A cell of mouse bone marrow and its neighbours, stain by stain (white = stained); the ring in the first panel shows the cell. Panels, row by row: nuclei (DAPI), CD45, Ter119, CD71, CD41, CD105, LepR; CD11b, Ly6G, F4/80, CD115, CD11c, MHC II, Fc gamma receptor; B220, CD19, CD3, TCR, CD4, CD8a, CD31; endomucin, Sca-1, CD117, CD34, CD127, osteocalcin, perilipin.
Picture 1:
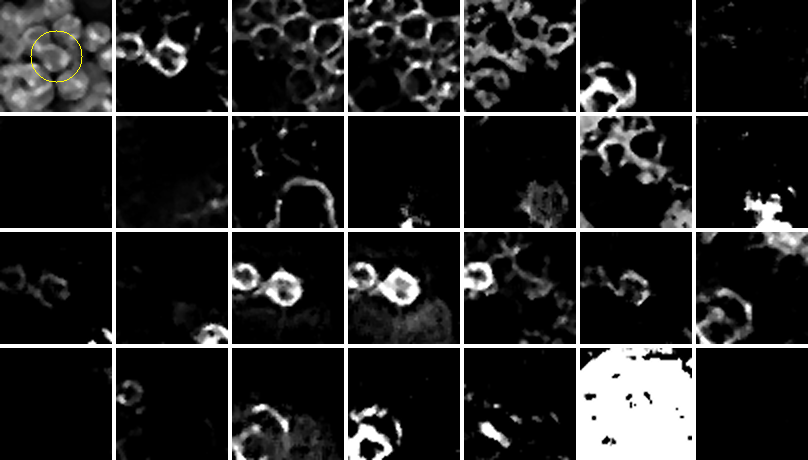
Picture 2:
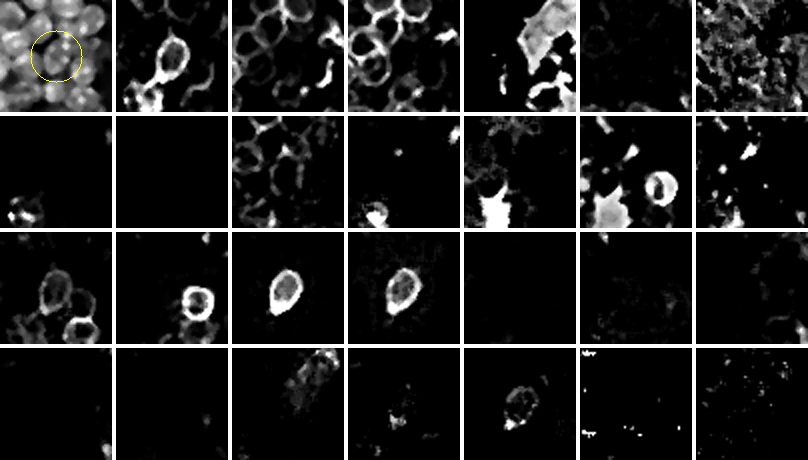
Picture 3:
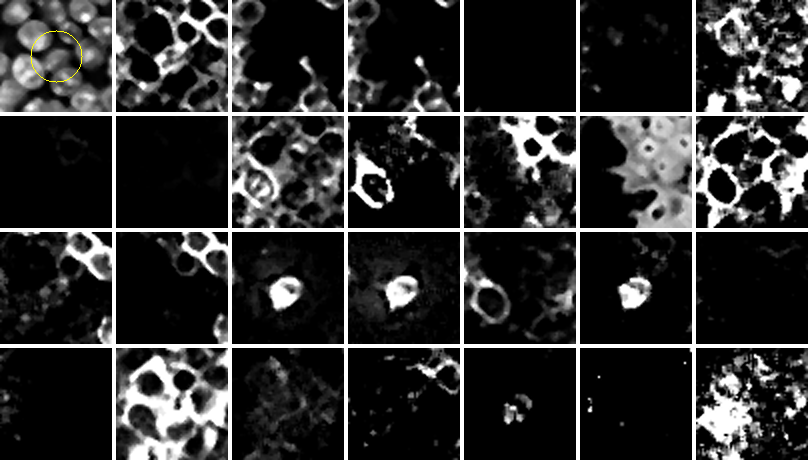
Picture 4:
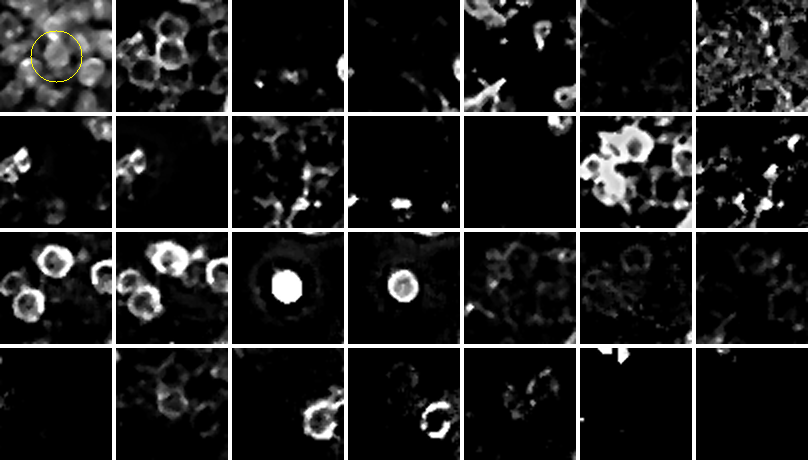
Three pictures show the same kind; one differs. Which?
Picture 3: a CD8 T cell, while the others are double-negative T cells.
